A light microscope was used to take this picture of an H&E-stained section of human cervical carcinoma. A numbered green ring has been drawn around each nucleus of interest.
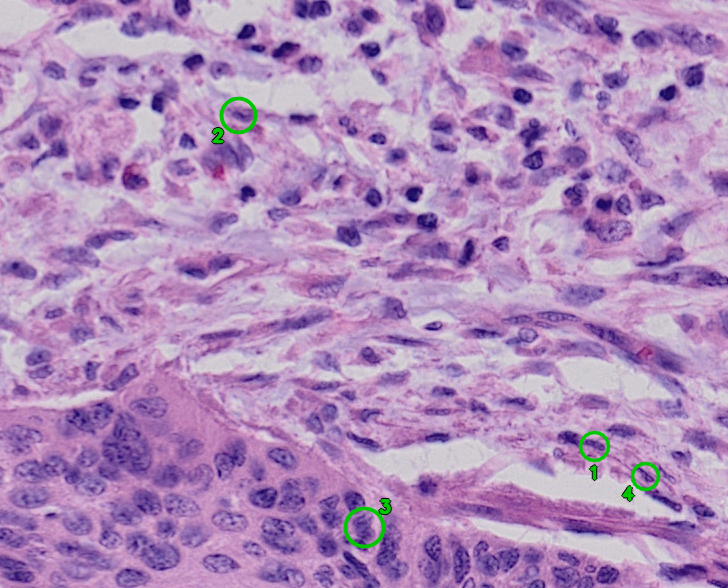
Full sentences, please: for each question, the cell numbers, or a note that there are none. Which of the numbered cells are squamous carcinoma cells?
Cell 3, and no other numbered cell, is a squamous carcinoma cell.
